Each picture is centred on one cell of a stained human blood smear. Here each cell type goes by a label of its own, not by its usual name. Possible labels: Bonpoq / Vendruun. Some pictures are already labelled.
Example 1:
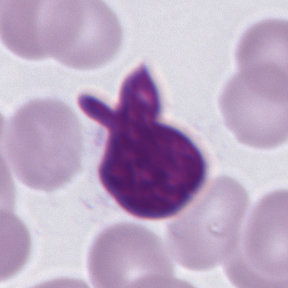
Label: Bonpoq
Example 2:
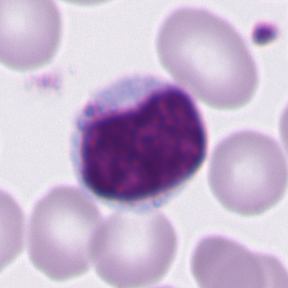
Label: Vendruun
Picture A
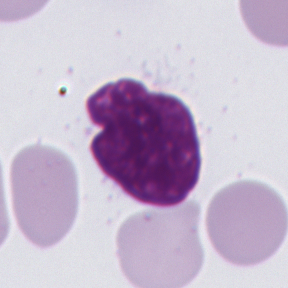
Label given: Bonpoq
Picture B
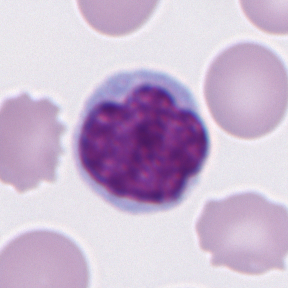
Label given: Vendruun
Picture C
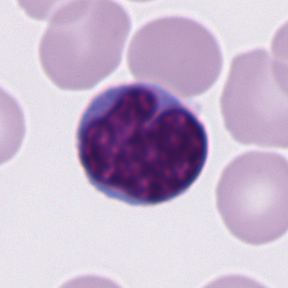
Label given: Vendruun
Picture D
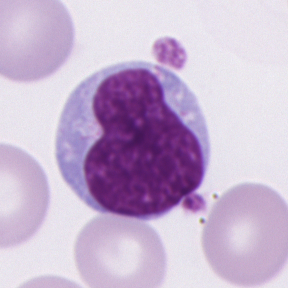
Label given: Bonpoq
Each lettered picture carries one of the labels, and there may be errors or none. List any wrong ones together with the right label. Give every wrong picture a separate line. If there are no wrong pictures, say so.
D: change Bonpoq to Vendruun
